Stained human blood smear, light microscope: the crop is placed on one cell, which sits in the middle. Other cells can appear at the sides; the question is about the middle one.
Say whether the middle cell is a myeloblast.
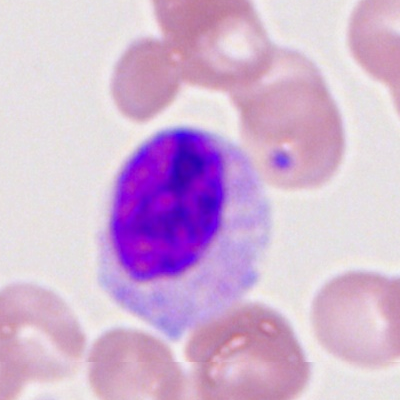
no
